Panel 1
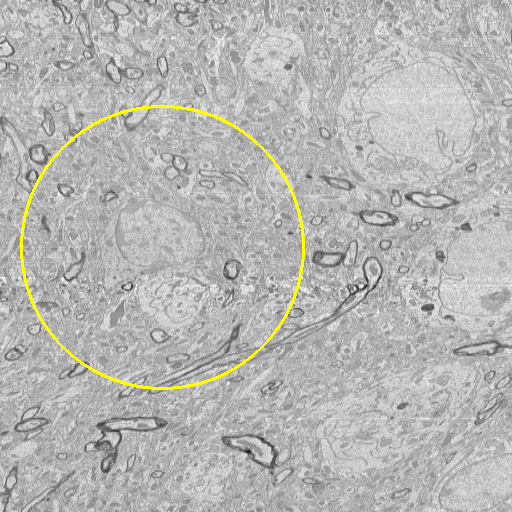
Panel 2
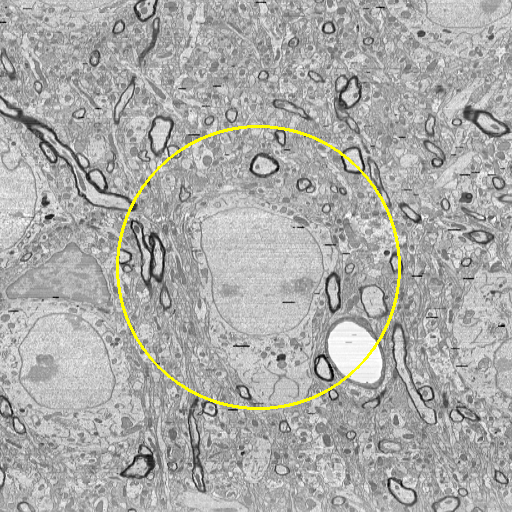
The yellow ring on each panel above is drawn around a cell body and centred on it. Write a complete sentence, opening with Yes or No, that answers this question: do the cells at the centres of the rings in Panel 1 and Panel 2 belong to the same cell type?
No, the two cells belong to two cell types.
